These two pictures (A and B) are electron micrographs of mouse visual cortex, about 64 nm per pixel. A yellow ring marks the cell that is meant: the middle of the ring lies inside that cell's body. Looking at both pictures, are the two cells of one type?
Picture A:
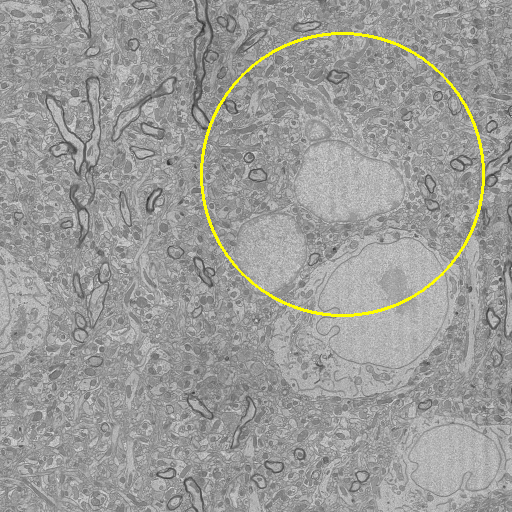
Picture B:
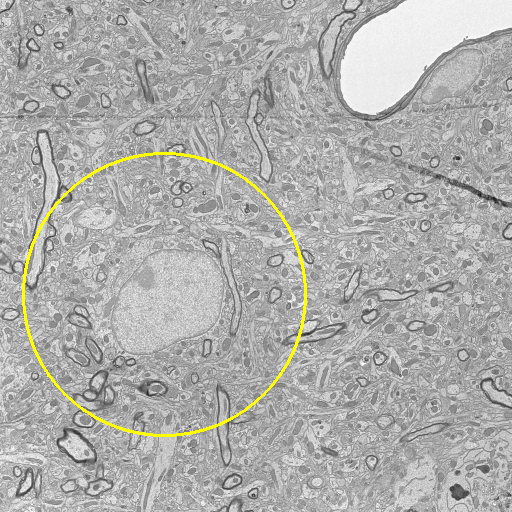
Yes, they are the same type: both are astrocytes.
